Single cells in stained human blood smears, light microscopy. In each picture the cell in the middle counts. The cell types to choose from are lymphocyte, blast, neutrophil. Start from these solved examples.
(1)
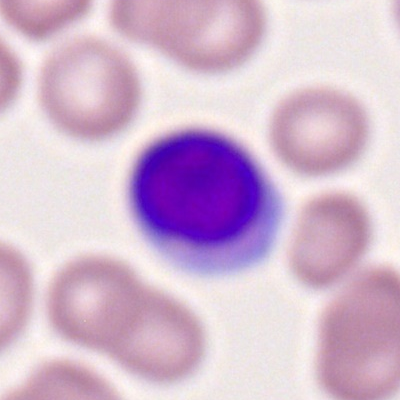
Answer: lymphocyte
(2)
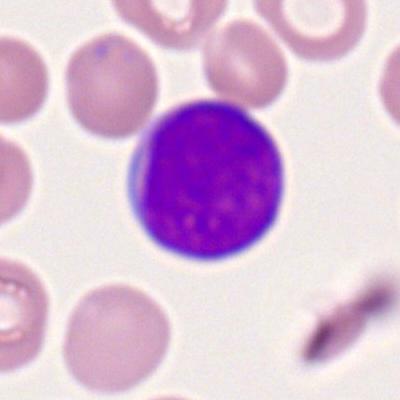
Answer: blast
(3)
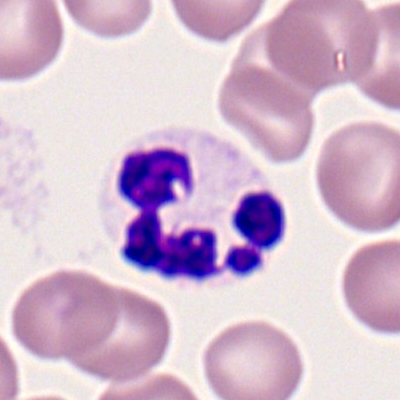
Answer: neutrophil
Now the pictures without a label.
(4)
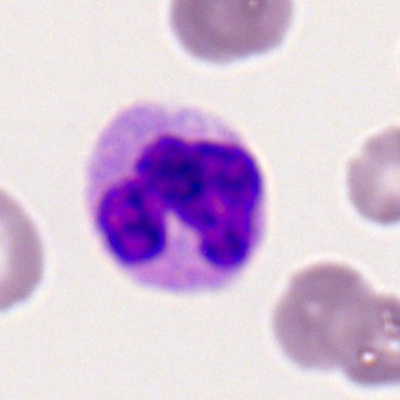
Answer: neutrophil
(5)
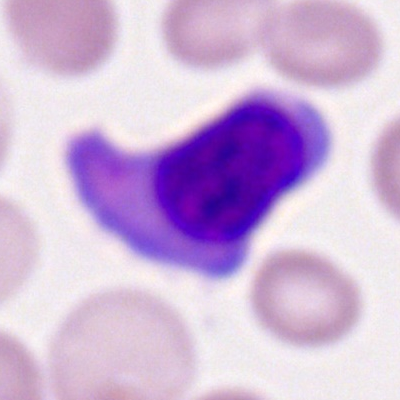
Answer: lymphocyte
